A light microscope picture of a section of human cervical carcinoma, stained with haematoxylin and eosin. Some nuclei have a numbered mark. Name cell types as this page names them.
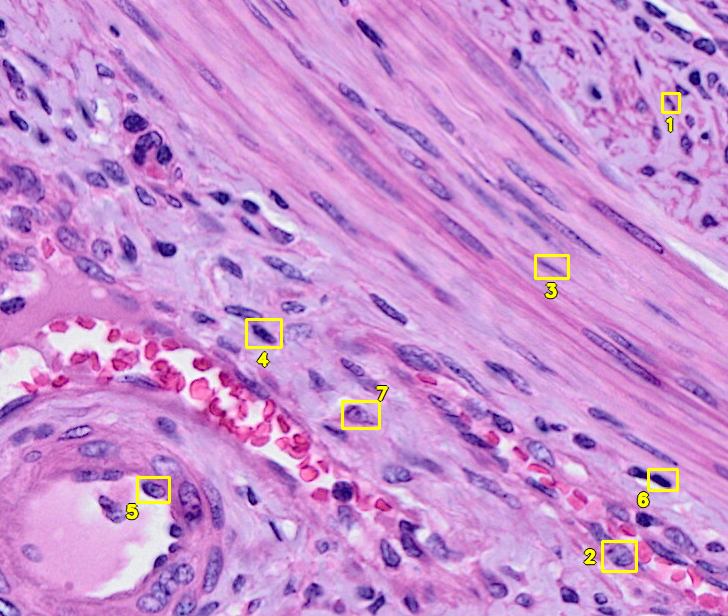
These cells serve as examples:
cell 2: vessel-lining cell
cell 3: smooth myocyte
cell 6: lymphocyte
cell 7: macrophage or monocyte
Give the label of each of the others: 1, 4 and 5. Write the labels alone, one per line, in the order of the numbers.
smooth myocyte
lymphocyte
vessel-lining cell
